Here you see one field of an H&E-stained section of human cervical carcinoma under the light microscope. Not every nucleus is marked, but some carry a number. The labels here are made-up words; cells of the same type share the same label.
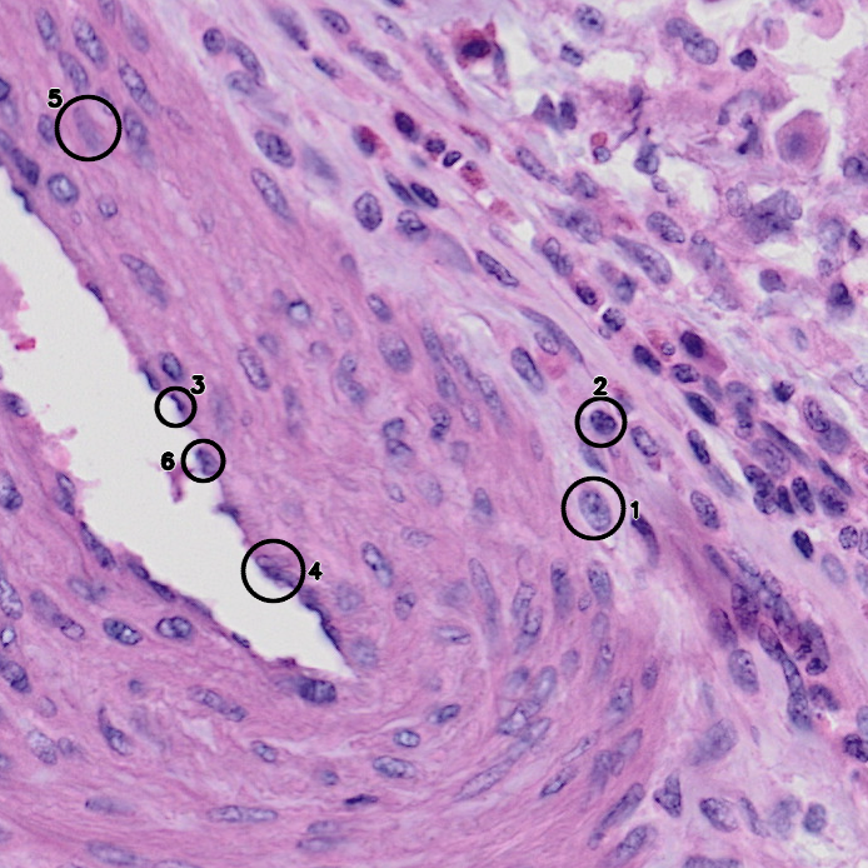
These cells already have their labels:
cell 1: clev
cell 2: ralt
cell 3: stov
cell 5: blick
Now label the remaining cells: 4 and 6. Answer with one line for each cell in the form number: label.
4: stov
6: stov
